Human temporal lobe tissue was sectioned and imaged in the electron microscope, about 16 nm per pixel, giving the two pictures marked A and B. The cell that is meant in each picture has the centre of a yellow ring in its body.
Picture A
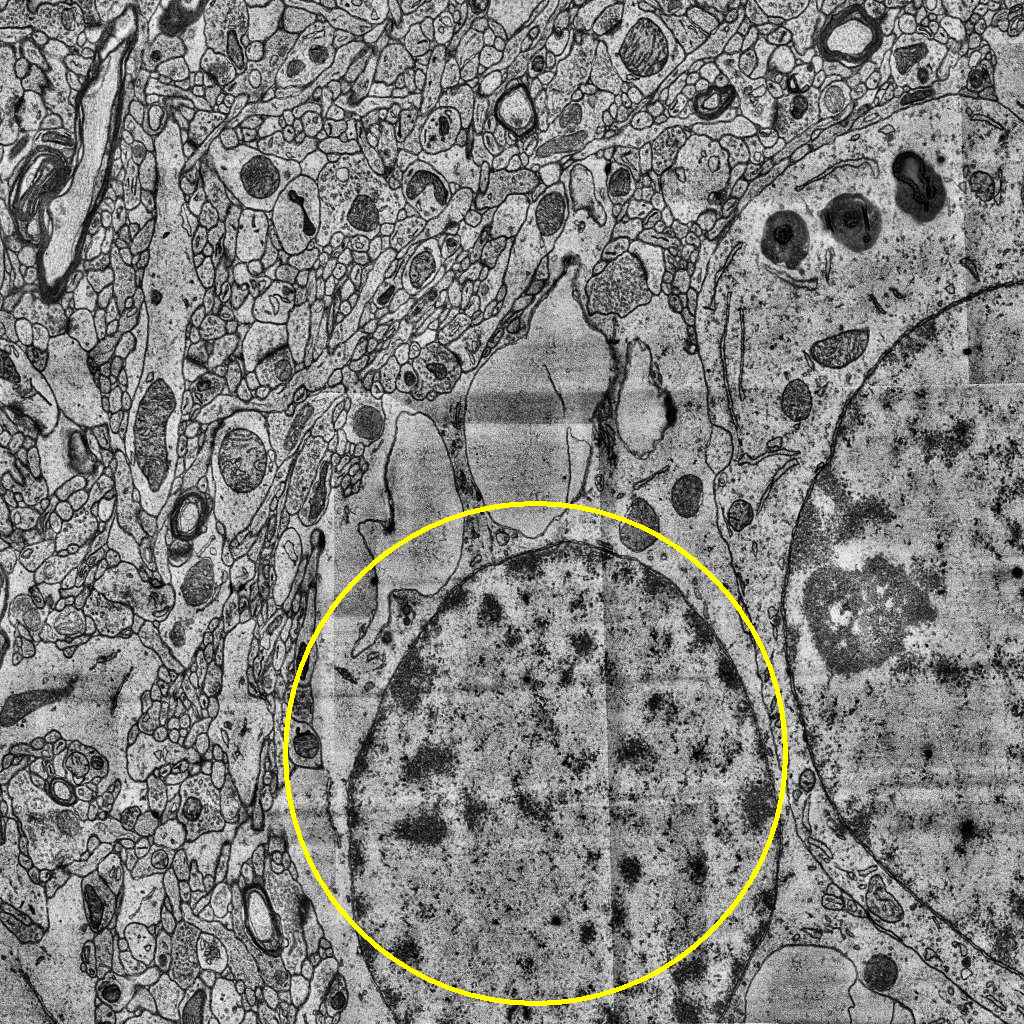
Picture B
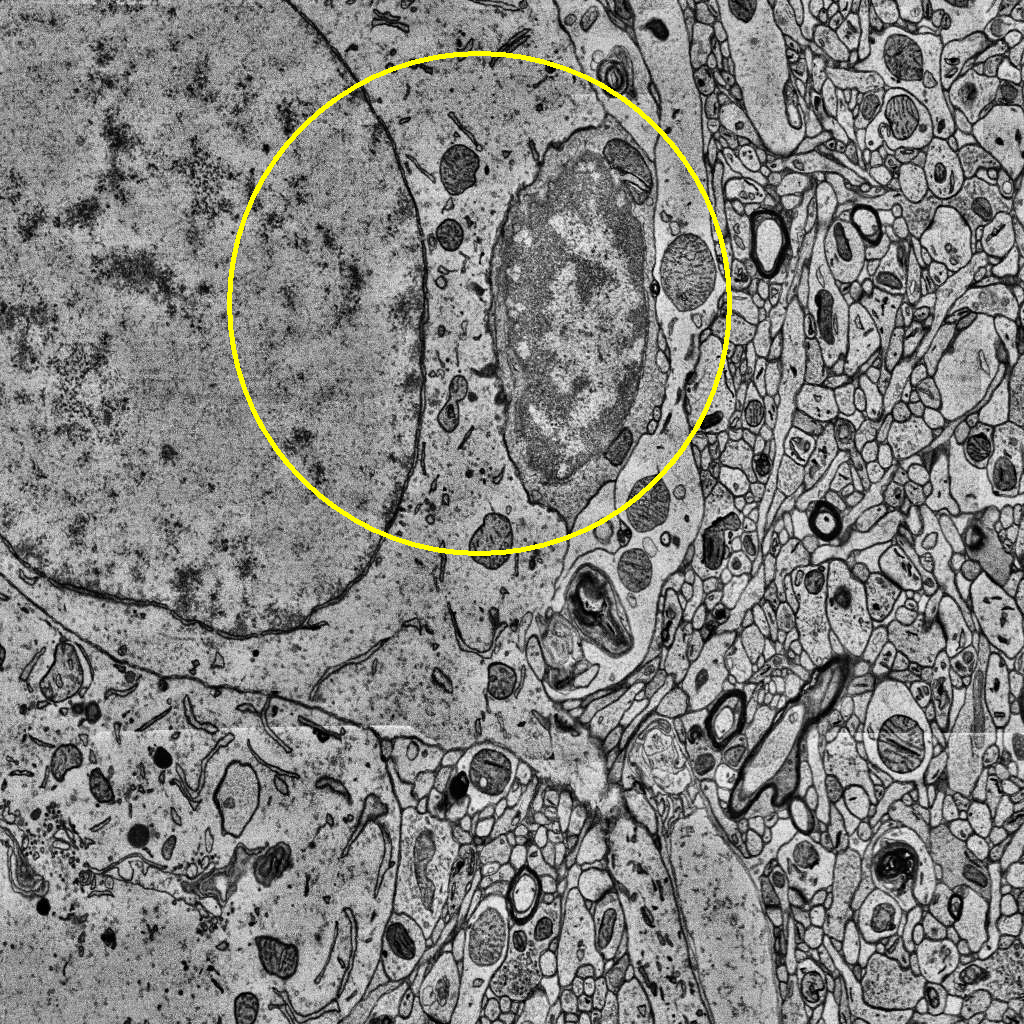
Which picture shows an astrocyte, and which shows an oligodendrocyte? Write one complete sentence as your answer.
The cell in picture A is an astrocyte, and the one in picture B is an oligodendrocyte.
